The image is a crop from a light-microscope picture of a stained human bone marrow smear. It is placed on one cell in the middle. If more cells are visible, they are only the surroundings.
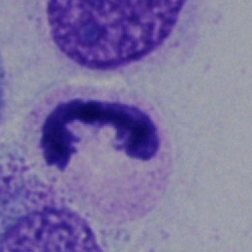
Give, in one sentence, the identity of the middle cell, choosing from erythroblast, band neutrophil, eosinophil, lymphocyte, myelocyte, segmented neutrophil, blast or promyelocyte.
Where the crop is centred, there is a segmented neutrophil.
